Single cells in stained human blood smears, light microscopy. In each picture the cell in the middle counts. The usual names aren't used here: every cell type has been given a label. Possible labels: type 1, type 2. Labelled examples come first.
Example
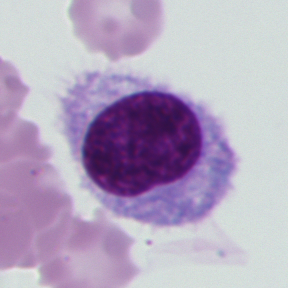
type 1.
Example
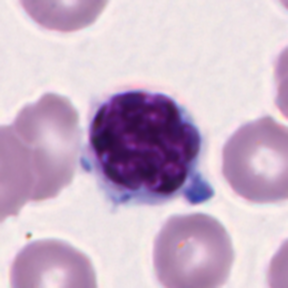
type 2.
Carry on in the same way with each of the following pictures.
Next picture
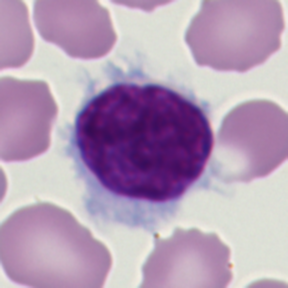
type 1.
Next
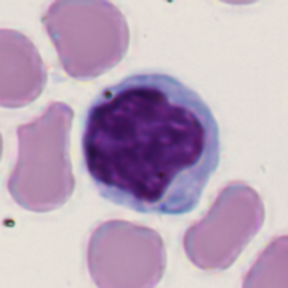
type 2.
